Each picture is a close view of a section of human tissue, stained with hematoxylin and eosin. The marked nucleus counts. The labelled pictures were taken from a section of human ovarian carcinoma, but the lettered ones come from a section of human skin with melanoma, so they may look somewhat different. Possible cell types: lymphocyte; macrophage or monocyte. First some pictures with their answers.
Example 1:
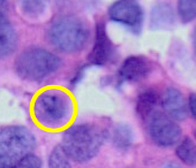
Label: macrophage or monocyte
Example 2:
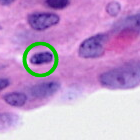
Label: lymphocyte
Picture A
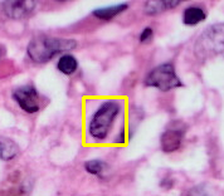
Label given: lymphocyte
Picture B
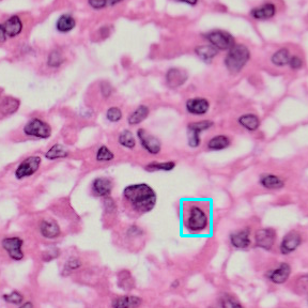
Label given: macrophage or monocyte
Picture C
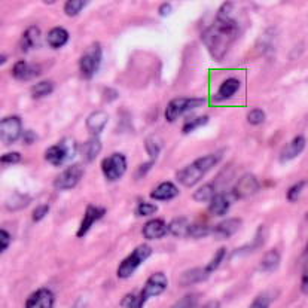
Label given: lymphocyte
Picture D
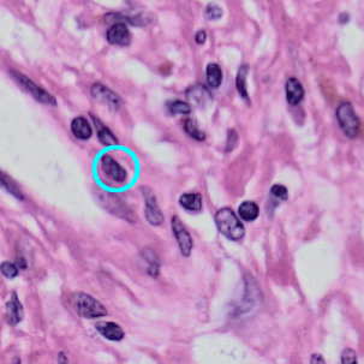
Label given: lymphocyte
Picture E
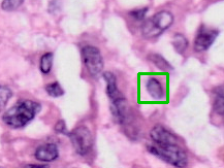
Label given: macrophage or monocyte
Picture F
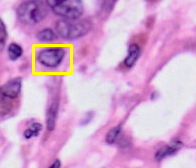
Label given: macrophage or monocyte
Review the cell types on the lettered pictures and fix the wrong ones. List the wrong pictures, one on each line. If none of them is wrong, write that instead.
A: macrophage or monocyte, not lymphocyte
